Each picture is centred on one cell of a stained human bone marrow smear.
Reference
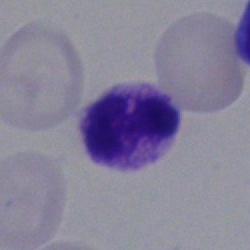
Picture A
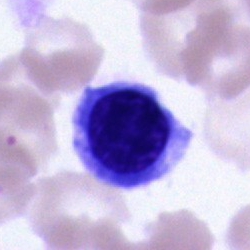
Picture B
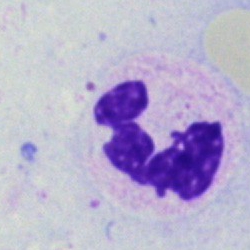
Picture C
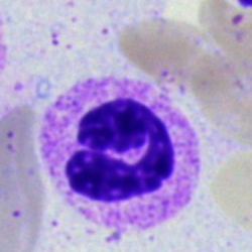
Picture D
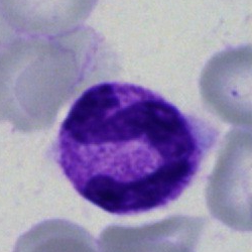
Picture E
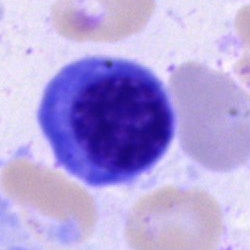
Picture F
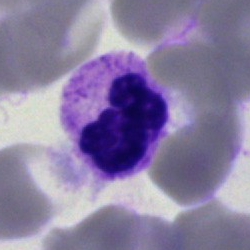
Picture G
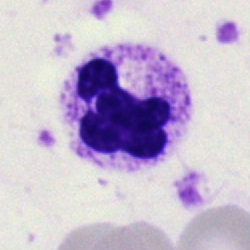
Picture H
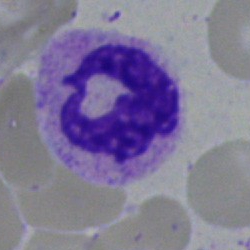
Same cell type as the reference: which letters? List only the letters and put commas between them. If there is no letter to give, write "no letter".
B, C, D, F, G, H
